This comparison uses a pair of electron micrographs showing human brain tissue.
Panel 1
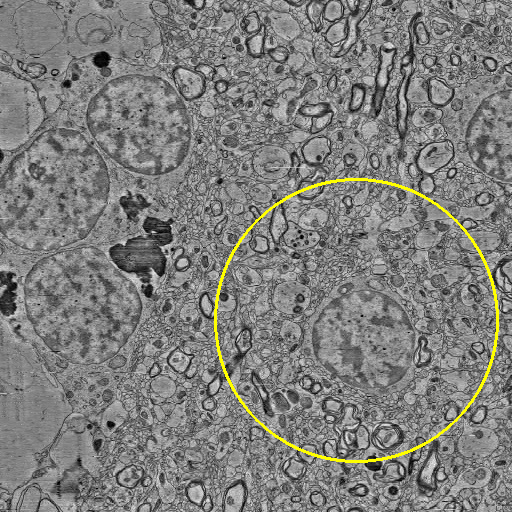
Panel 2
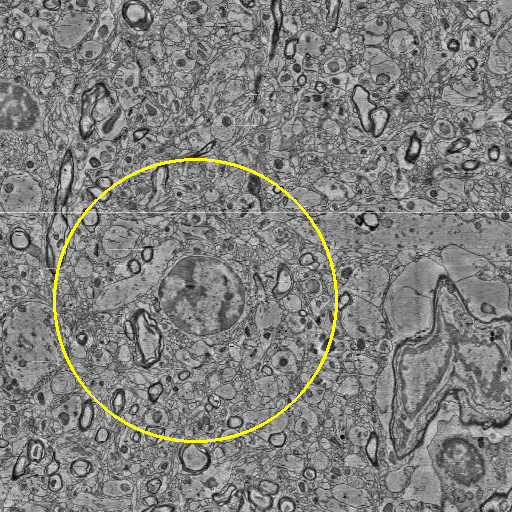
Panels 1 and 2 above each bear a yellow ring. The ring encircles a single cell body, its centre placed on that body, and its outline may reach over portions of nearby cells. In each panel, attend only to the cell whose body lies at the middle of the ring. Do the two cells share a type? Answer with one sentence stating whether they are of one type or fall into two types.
In Panel 1 and Panel 2, the cells at the centres of the rings fall into two types.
